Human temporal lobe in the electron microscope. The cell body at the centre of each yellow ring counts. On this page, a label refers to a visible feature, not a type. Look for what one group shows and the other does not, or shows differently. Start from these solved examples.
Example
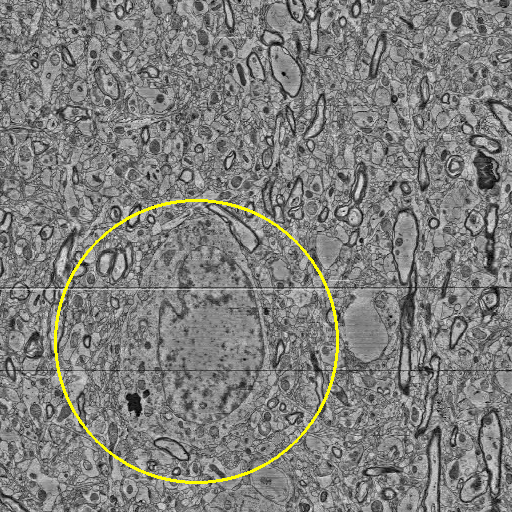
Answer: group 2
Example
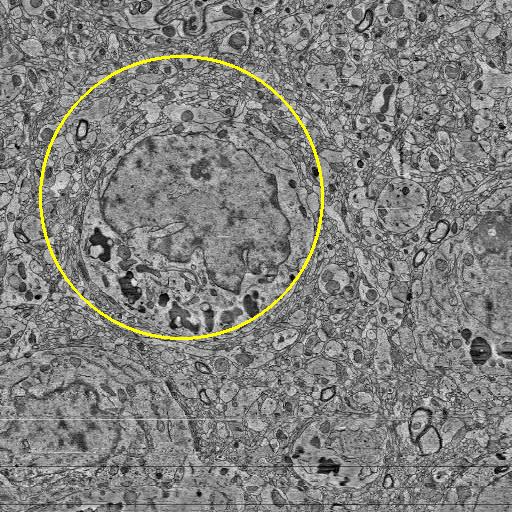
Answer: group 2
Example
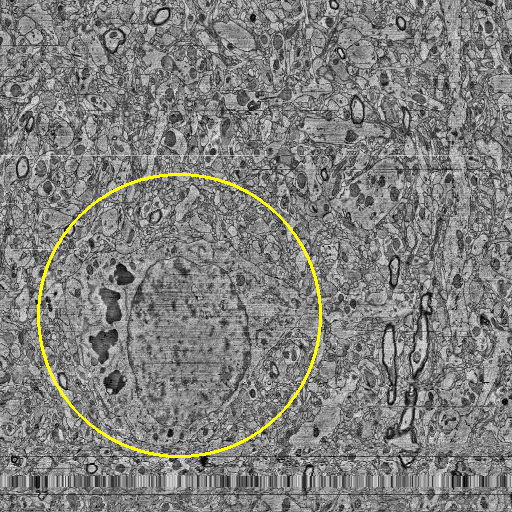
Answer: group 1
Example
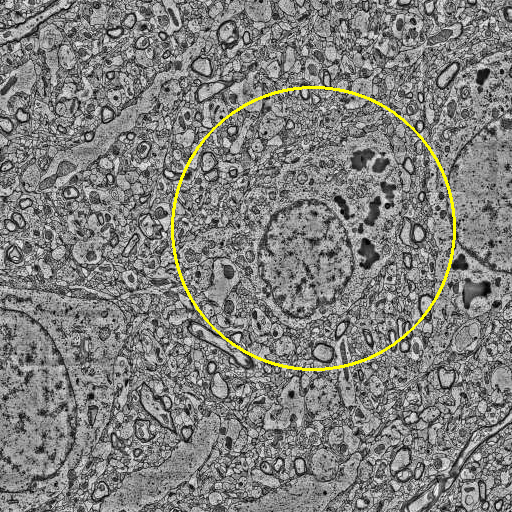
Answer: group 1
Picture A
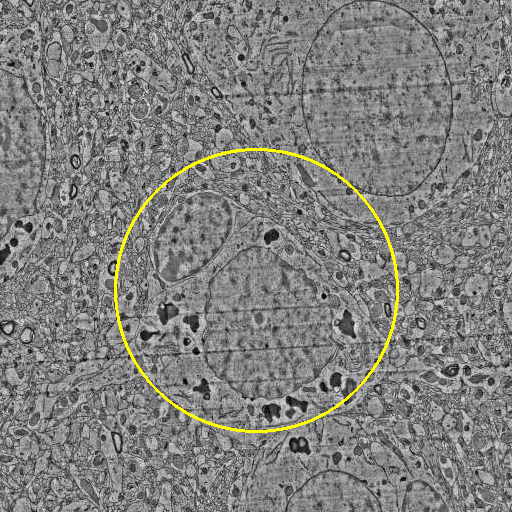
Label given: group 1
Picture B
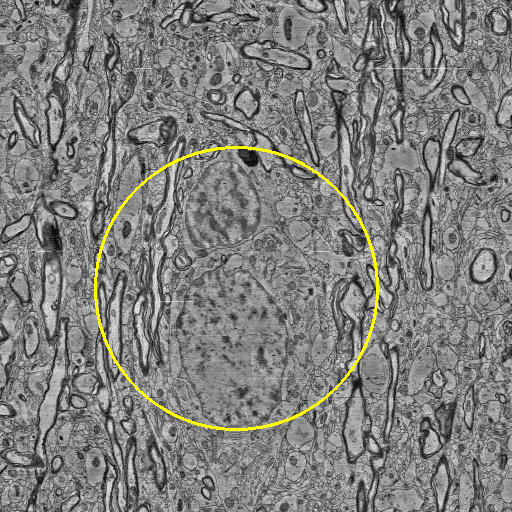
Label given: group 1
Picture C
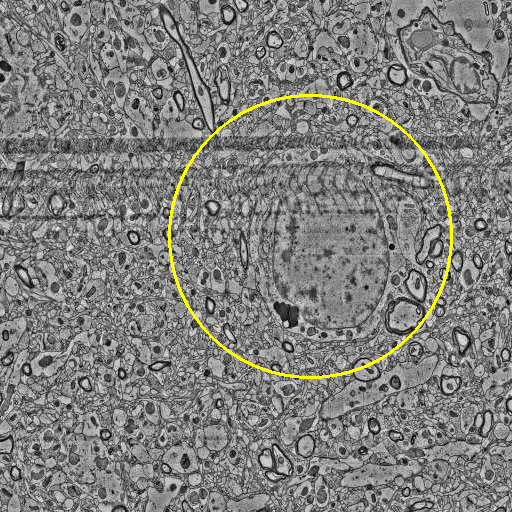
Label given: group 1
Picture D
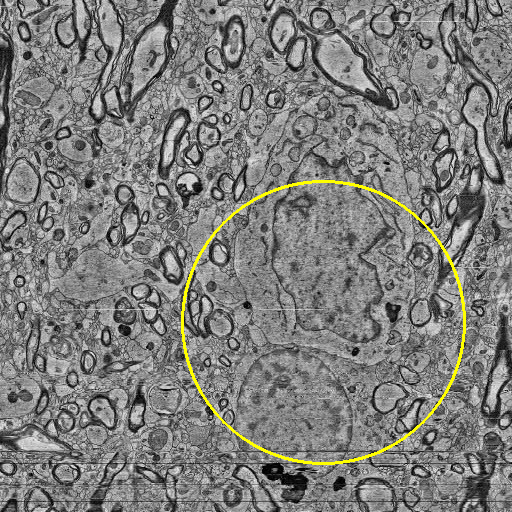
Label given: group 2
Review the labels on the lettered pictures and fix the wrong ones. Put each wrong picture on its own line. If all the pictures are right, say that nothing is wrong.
Every label is right.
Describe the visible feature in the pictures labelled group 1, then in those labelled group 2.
In group 1: smooth nuclear envelopes without deep folds. In group 2: deeply folded or indented nuclear envelopes.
